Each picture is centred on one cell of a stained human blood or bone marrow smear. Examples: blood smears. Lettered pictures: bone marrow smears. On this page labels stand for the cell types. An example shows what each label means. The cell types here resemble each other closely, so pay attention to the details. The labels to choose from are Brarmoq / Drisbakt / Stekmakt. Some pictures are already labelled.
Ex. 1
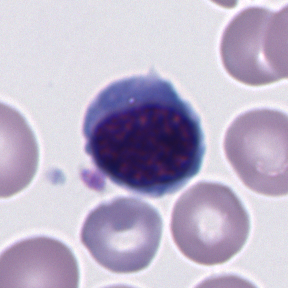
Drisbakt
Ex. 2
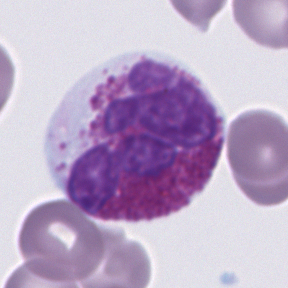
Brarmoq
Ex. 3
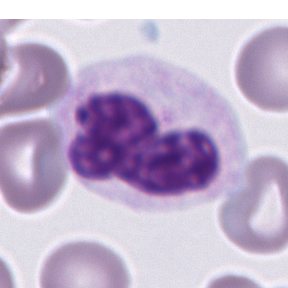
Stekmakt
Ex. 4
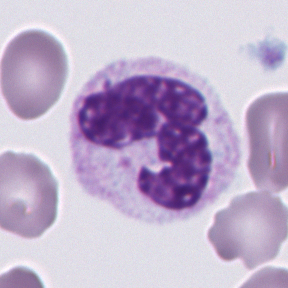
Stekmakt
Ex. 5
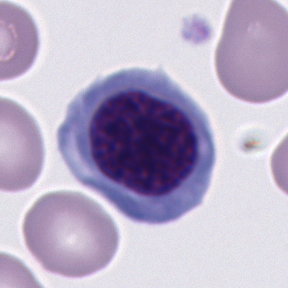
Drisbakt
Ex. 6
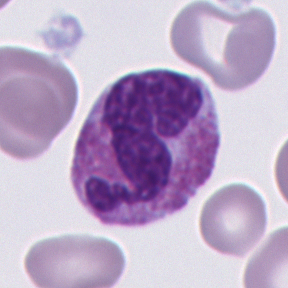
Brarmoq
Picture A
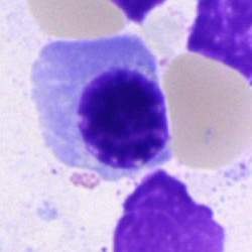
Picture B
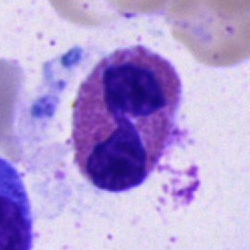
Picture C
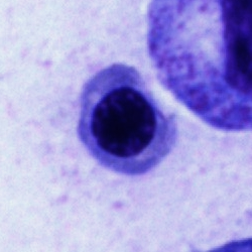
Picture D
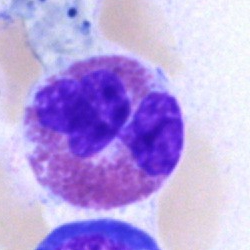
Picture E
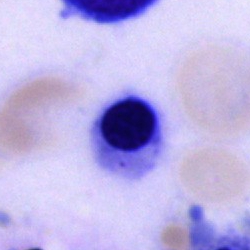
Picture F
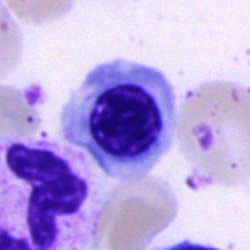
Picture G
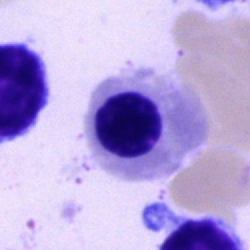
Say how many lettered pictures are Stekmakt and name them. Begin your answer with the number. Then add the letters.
0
